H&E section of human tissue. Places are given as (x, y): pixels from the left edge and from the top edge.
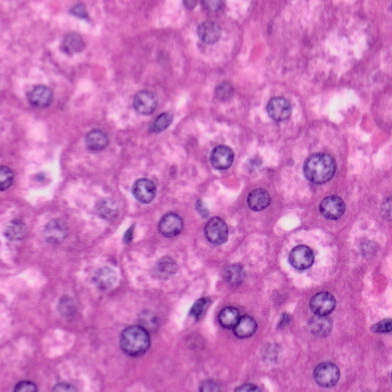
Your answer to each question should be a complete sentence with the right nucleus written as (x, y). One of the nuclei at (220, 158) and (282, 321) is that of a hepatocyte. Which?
Housed in a hepatocyte is the nucleus at (220, 158), not the other one.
